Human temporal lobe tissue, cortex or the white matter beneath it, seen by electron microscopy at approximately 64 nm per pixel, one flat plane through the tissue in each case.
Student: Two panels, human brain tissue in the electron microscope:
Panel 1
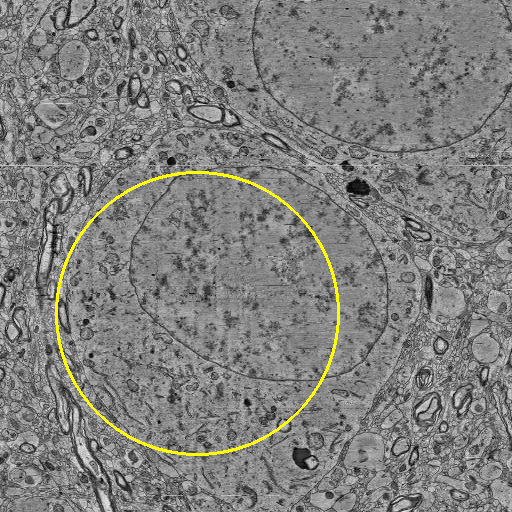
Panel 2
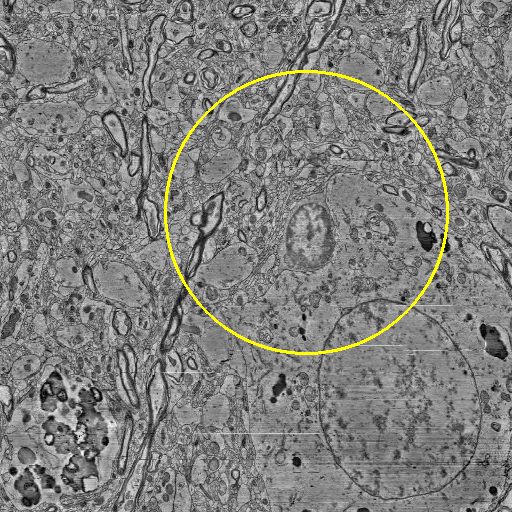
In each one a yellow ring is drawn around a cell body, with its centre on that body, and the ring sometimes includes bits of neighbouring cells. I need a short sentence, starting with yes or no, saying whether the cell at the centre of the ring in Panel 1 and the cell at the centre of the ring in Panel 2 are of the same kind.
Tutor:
No, they are two kinds of cell.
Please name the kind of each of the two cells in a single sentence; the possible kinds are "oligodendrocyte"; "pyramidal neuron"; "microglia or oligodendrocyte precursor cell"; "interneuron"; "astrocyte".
In the first picture the ring is centred on a pyramidal neuron, and in the second on an oligodendrocyte.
